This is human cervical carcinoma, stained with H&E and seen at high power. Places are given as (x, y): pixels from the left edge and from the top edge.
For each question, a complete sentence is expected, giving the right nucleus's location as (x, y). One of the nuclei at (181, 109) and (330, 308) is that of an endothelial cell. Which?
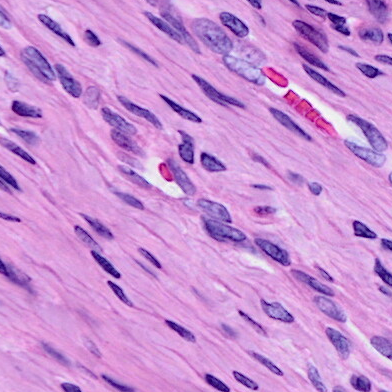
Identified as belonging to an endothelial cell is the nucleus at (330, 308).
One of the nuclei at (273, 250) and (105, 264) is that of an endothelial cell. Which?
Among the two nuclei, the one found at (273, 250) belongs to an endothelial cell.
